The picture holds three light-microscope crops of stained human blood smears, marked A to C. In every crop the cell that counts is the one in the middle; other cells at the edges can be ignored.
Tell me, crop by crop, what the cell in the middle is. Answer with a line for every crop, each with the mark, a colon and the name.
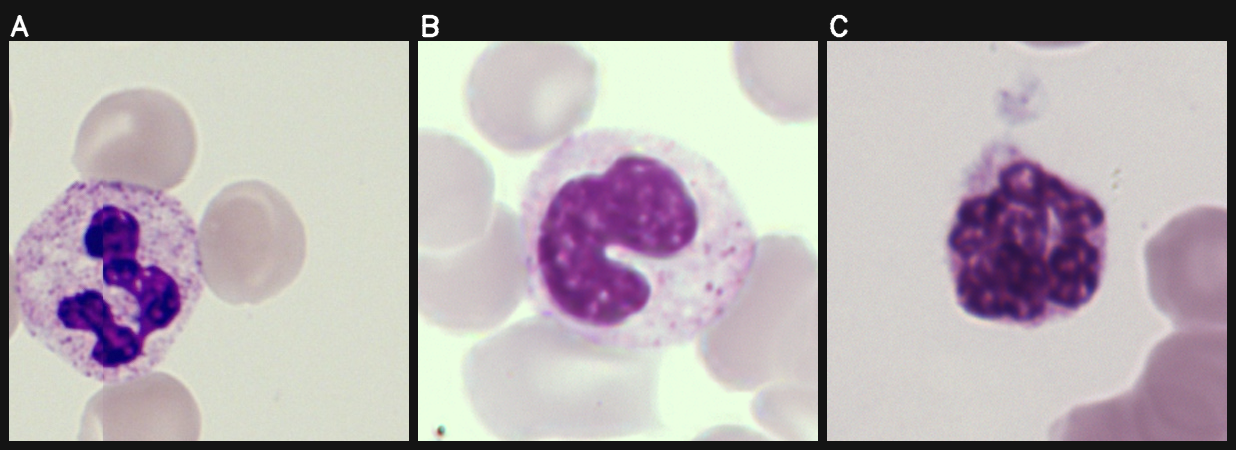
A: segmented neutrophil
B: band neutrophil
C: segmented neutrophil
